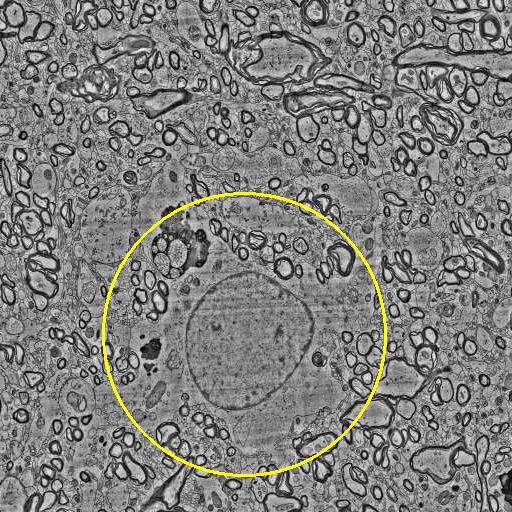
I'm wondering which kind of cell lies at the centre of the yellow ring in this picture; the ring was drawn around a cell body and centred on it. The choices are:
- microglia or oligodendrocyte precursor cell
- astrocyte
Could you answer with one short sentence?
At the centre of the ring lies an astrocyte.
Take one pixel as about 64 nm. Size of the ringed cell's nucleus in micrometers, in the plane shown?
In this plane the nucleus measures roughly 11 by 9 micrometers.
